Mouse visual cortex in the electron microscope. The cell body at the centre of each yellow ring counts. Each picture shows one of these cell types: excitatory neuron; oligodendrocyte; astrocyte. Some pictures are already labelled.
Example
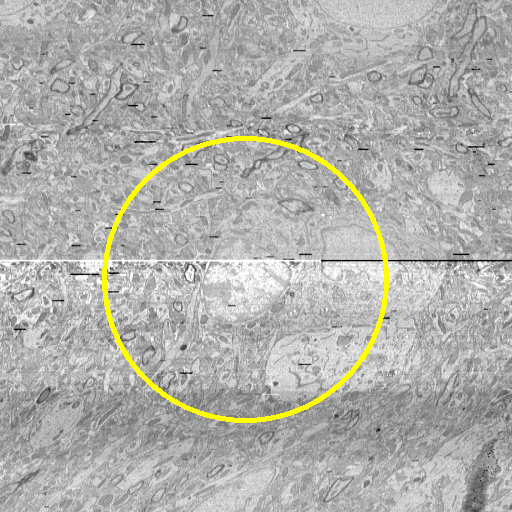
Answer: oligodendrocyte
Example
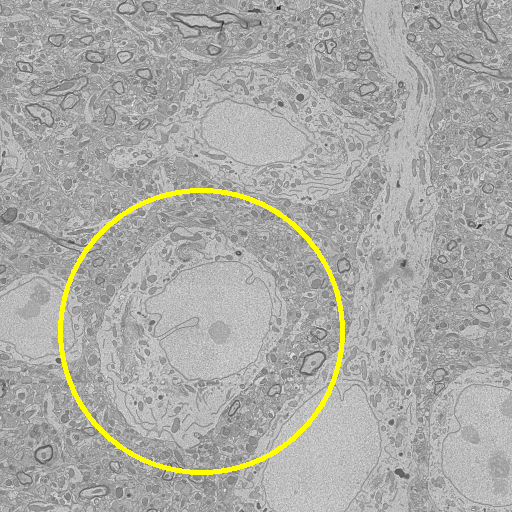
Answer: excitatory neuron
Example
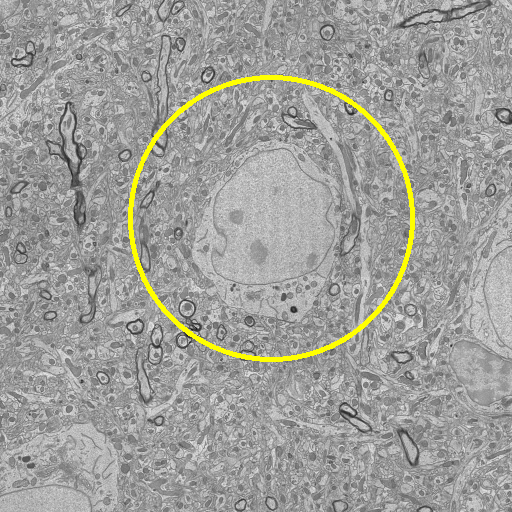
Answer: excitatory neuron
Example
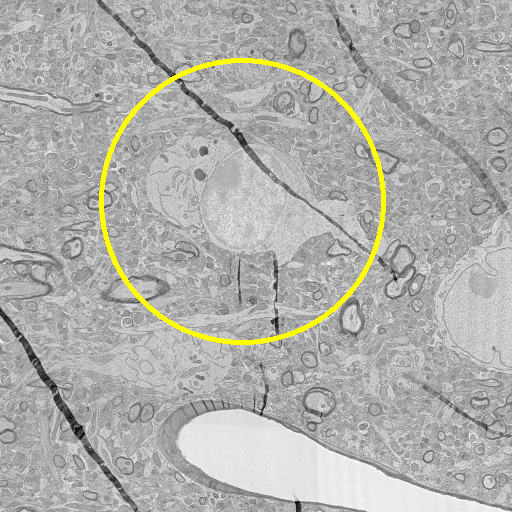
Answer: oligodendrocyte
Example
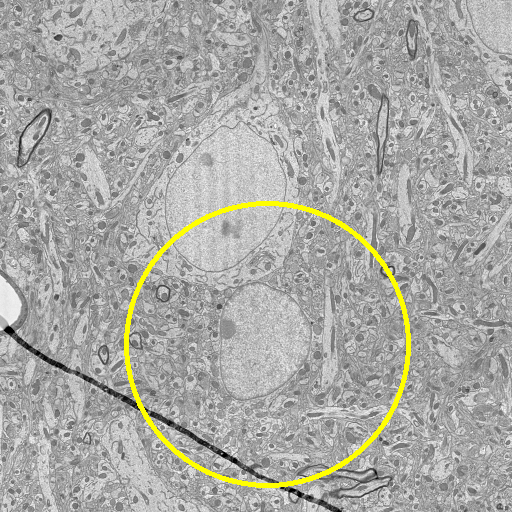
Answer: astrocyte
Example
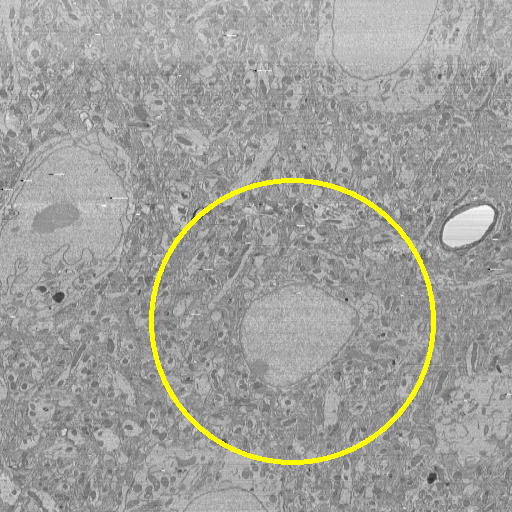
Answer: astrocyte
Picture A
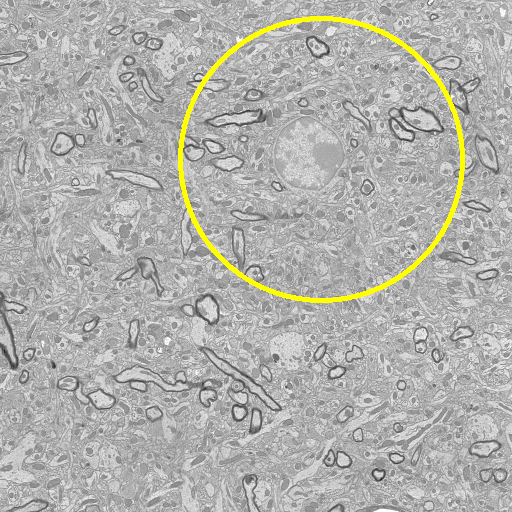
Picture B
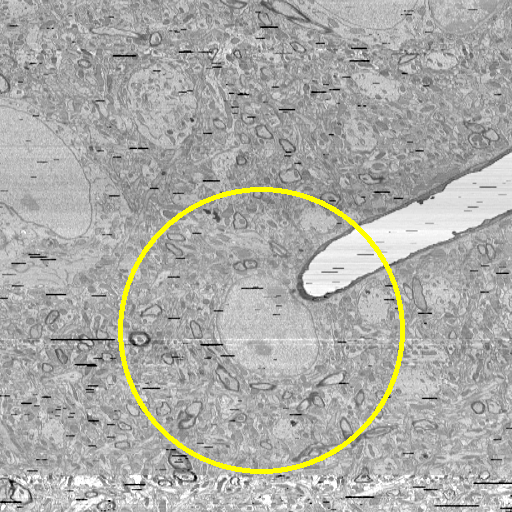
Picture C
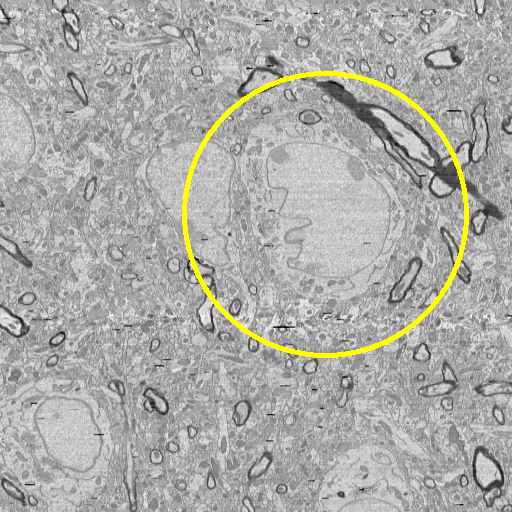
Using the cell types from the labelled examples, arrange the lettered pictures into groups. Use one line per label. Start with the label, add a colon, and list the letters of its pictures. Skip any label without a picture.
excitatory neuron: C
oligodendrocyte: A
astrocyte: B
